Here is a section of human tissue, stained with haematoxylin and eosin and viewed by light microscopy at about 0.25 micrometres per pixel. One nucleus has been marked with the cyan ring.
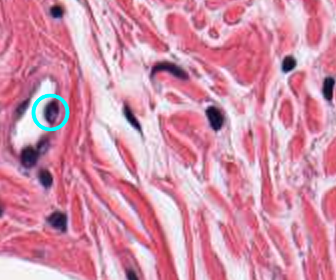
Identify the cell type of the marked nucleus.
endothelial cell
